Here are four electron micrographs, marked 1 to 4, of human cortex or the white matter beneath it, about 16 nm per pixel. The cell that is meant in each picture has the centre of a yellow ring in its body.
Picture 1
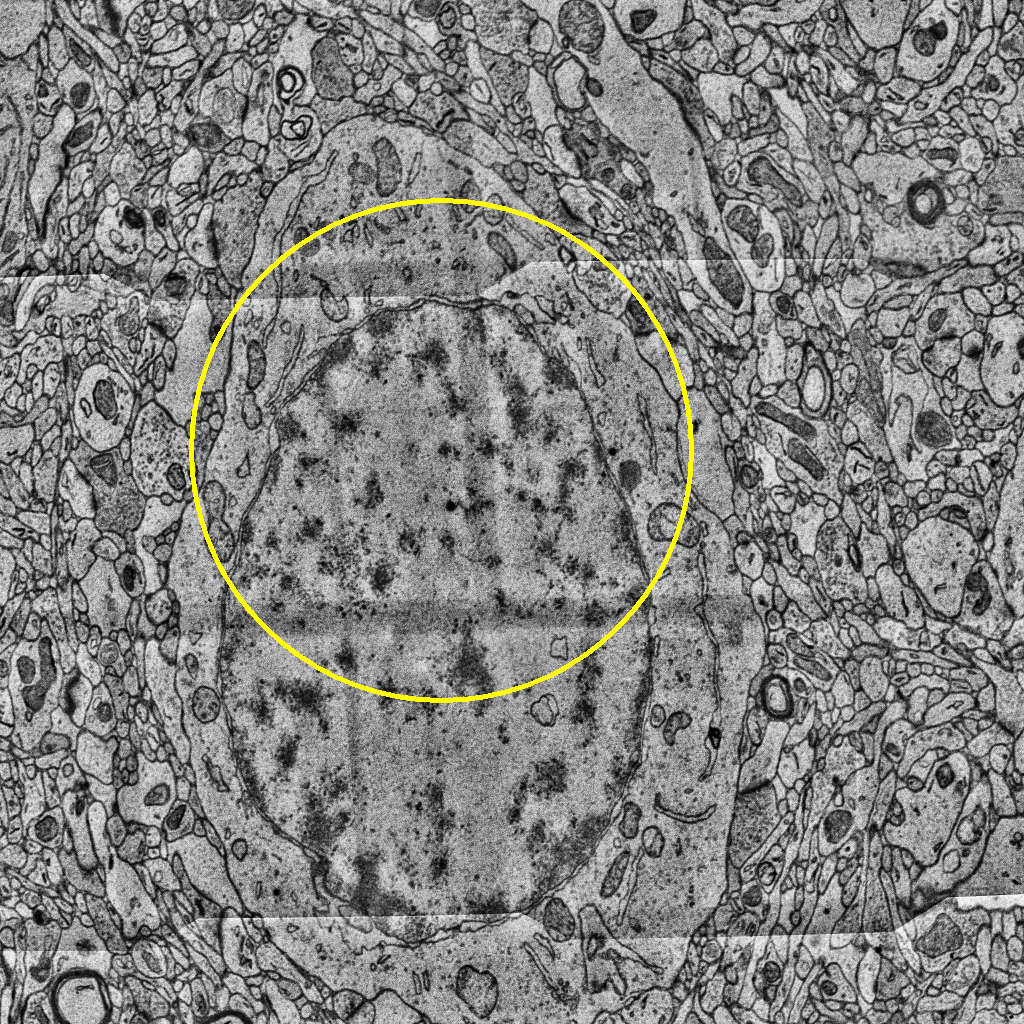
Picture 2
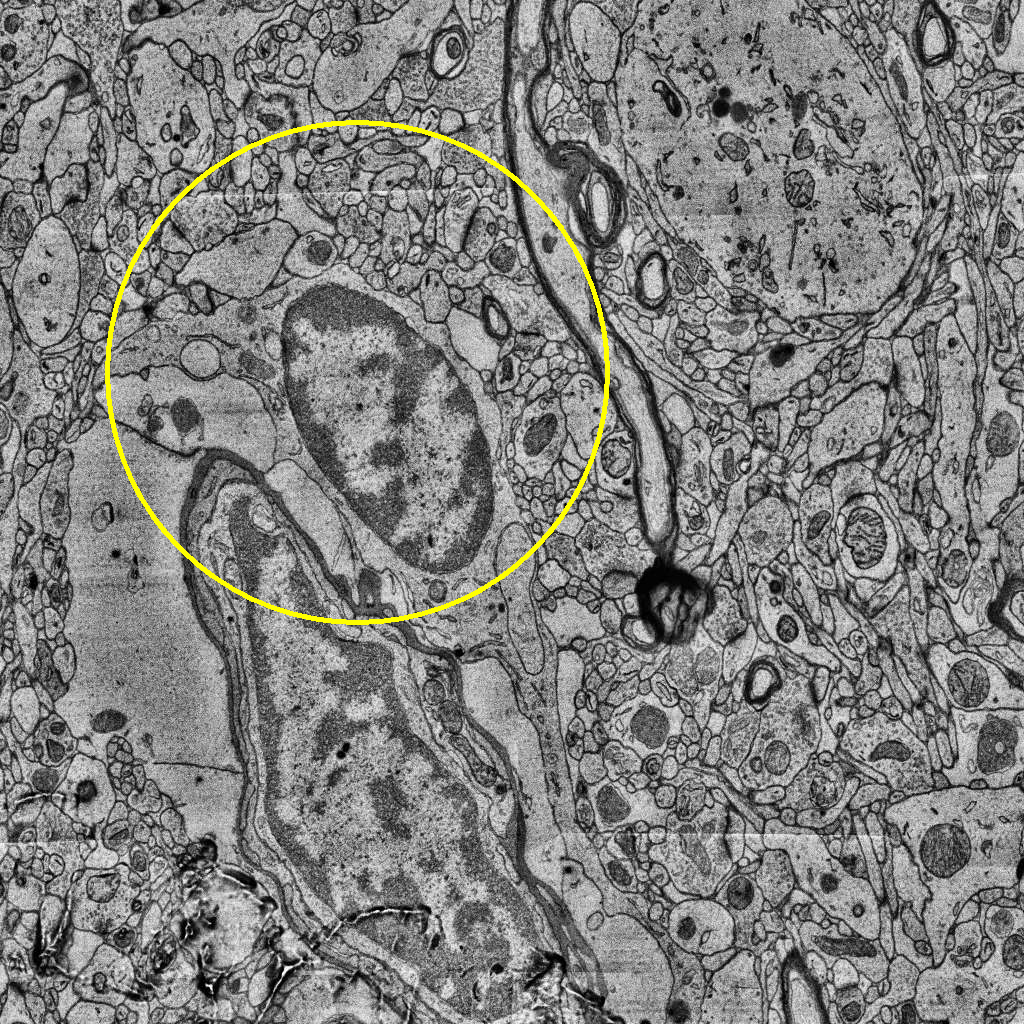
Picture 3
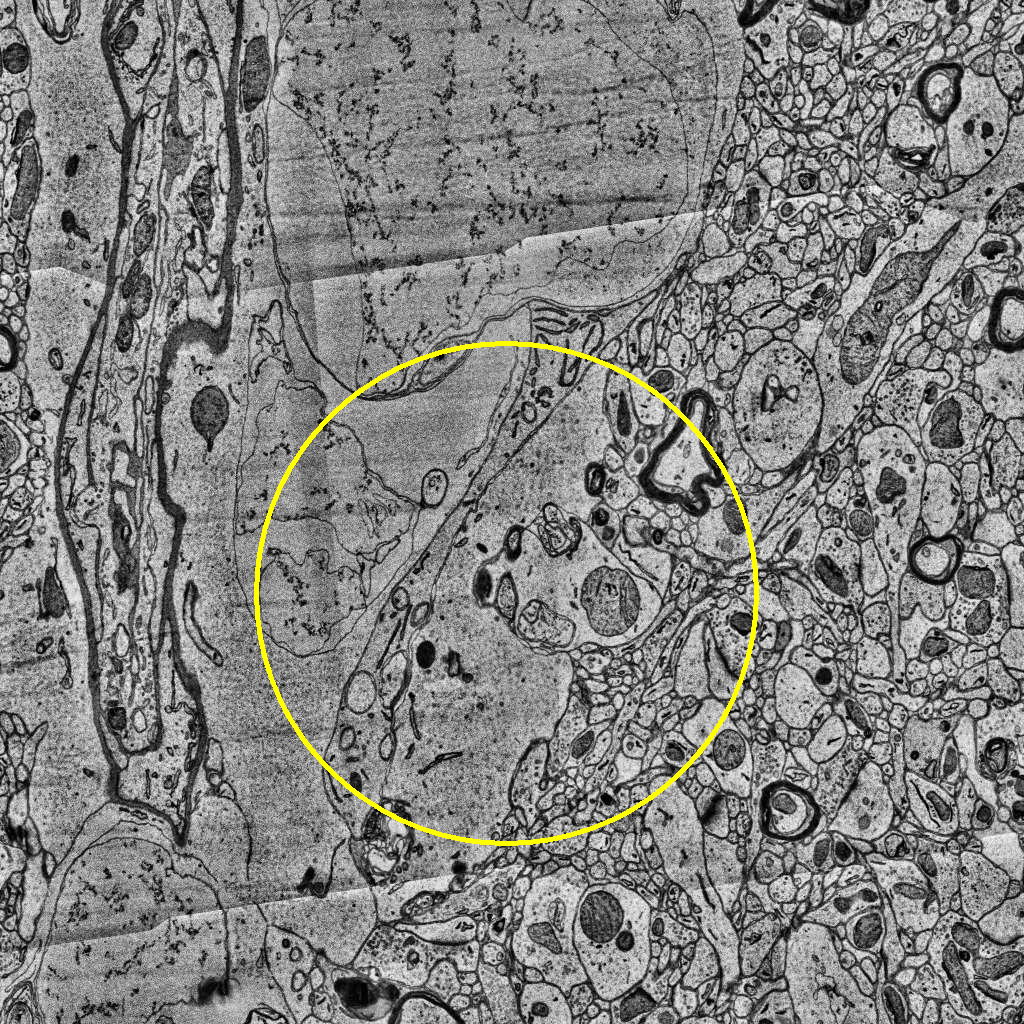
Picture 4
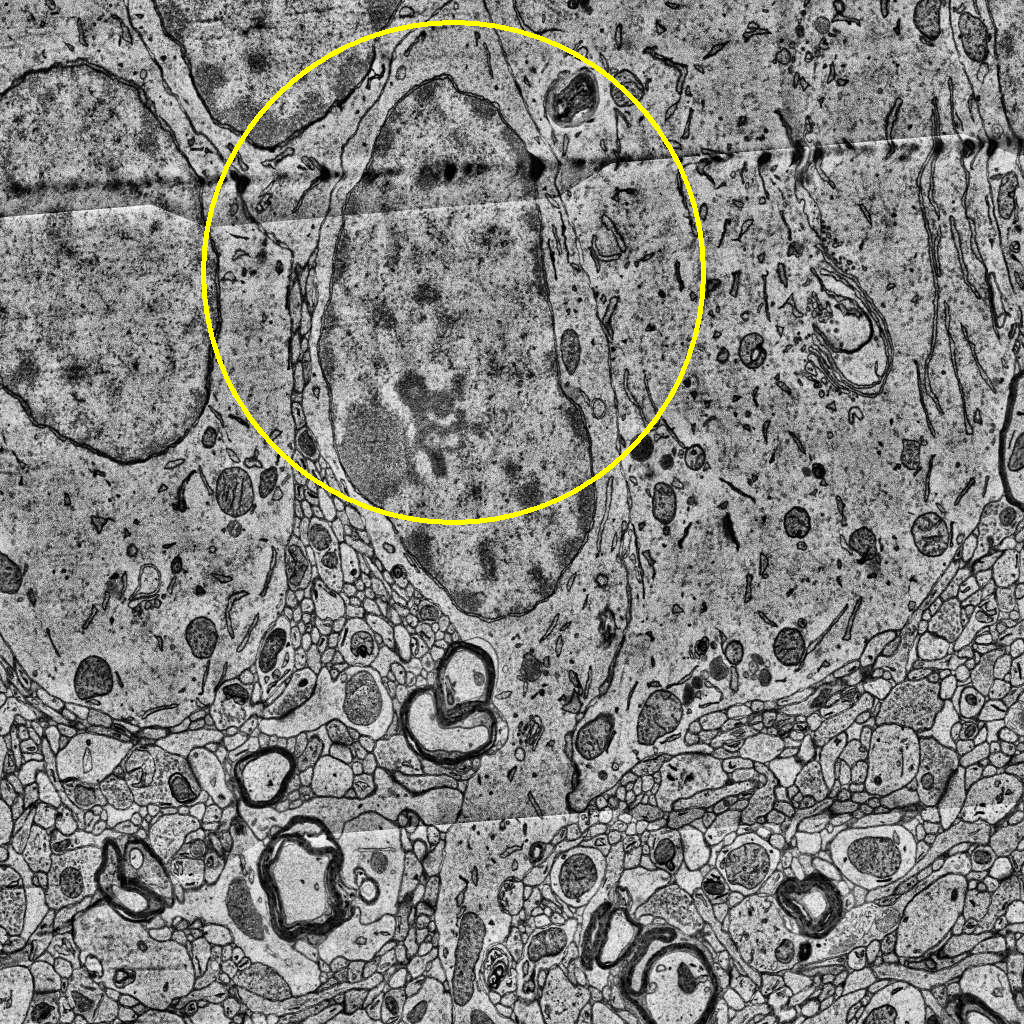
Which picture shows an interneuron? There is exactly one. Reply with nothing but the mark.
1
